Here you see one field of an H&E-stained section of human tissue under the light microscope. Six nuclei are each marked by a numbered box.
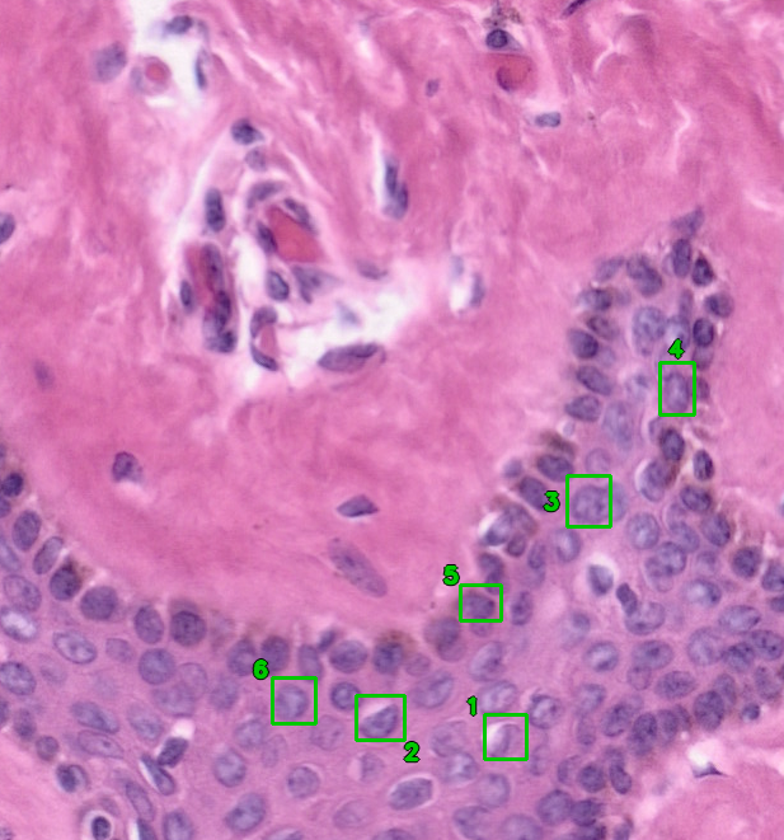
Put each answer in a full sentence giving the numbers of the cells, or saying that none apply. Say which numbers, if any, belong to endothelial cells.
Found among the numbered cells are no endothelial cells.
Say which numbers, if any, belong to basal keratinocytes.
The cells which carry the numbers 4 and 5 are basal keratinocytes.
